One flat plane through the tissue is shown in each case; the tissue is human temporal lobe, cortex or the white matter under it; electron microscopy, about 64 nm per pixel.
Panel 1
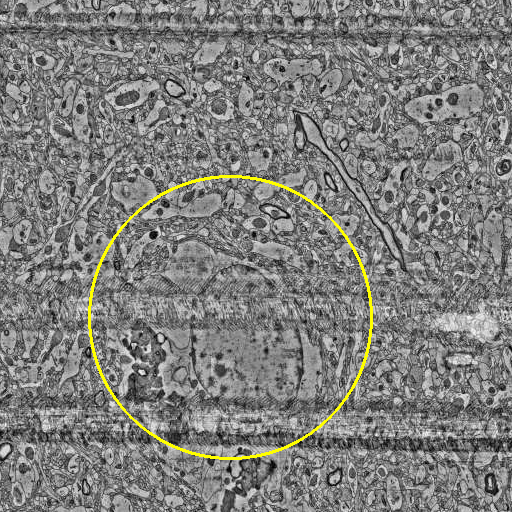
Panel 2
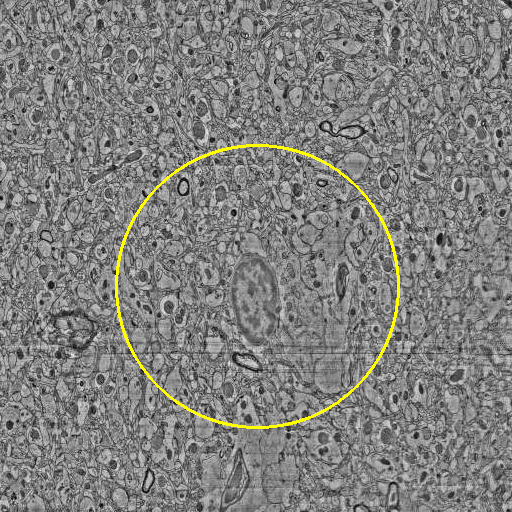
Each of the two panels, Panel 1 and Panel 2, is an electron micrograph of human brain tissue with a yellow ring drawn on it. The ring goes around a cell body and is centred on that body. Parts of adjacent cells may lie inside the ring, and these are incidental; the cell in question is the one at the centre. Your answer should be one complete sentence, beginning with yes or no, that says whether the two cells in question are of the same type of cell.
No, the two cells are of two types.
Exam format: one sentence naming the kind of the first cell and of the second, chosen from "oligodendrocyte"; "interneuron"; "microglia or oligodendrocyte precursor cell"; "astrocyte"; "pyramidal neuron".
The first picture's cell is an astrocyte, and the second picture's cell is an oligodendrocyte.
